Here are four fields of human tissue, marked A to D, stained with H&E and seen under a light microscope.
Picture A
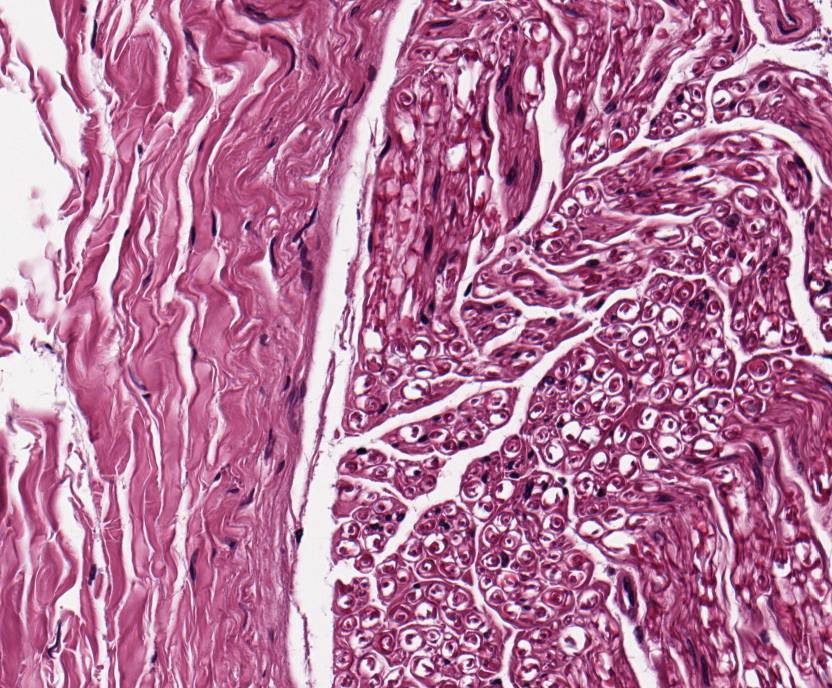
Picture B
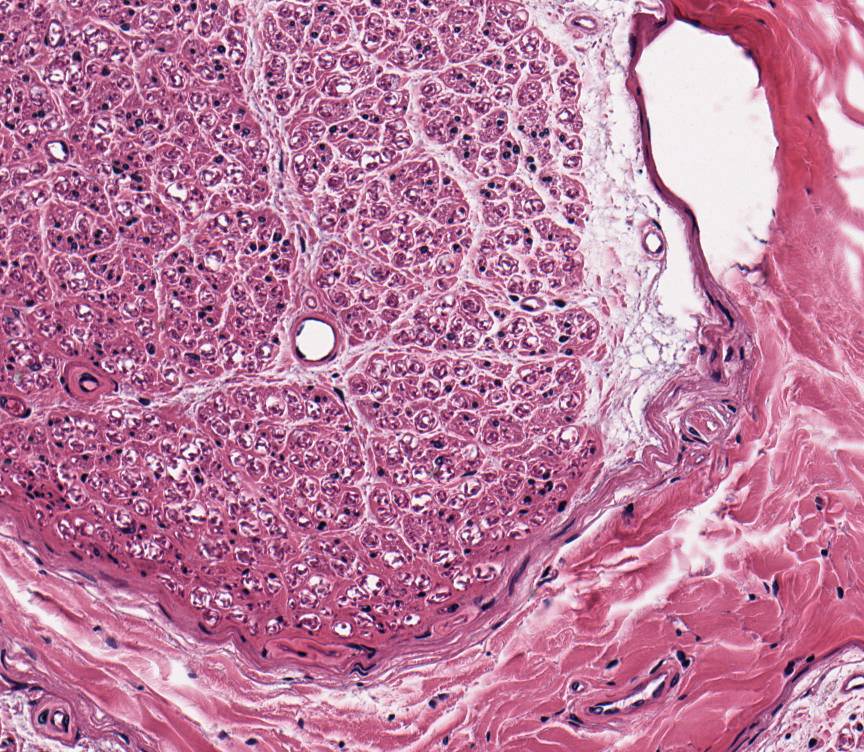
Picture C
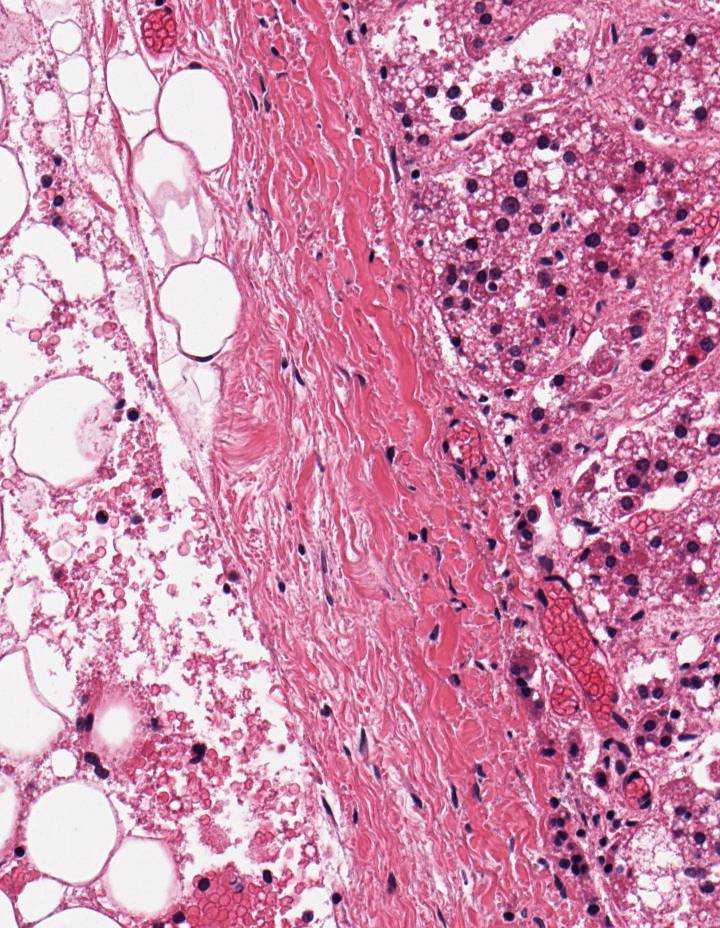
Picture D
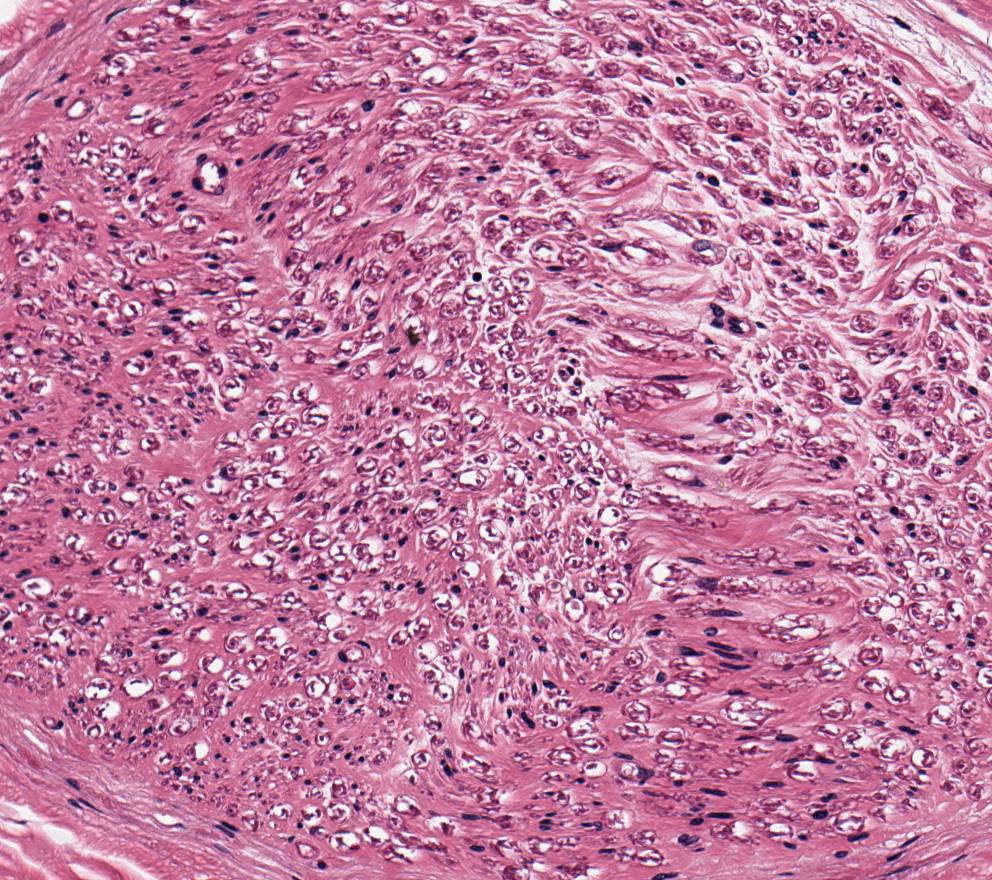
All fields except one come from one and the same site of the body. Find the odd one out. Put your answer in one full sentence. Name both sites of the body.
All pictures except C come from the tibial nerve; picture C comes from the adrenal gland.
